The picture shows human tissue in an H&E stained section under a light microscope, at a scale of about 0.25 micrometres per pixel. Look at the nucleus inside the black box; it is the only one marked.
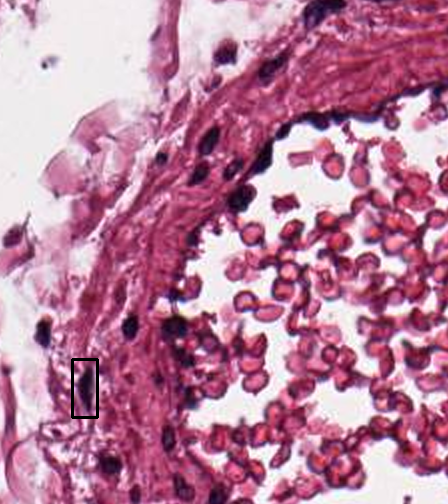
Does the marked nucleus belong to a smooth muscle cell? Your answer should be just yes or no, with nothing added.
no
